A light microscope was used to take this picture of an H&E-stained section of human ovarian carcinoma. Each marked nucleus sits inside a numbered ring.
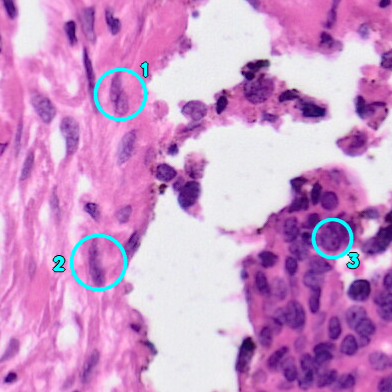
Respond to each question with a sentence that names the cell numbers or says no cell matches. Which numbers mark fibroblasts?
The cells numbered 1 and 2 are of one kind: fibroblasts.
